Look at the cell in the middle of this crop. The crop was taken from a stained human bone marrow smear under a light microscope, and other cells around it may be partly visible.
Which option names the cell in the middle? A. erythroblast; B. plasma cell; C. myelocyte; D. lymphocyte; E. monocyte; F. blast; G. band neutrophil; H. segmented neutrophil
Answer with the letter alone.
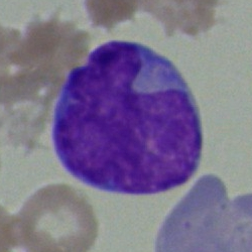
F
